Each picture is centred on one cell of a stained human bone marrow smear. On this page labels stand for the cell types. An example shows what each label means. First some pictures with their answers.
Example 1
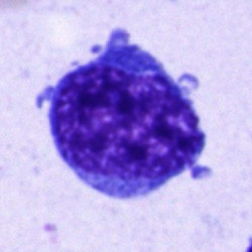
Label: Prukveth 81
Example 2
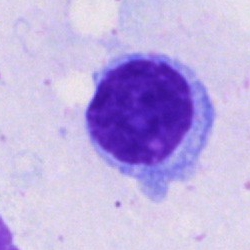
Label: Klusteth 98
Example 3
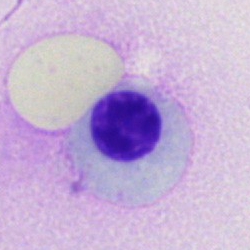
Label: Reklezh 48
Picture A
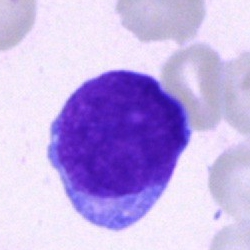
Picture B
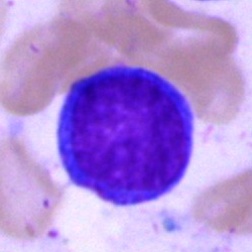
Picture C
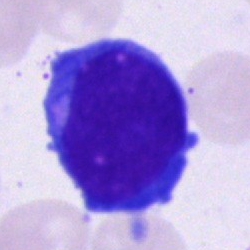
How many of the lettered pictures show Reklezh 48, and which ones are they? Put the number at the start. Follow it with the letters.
0, none of them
